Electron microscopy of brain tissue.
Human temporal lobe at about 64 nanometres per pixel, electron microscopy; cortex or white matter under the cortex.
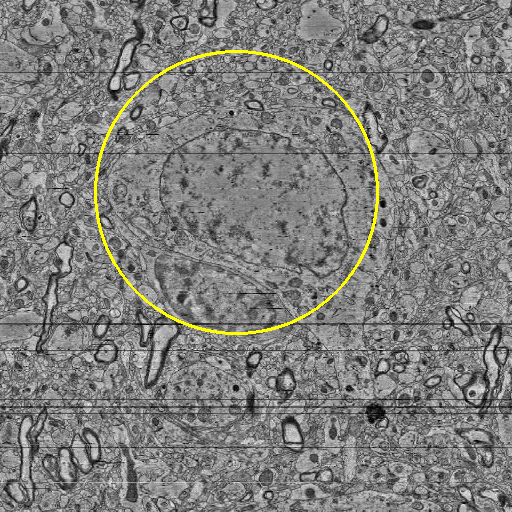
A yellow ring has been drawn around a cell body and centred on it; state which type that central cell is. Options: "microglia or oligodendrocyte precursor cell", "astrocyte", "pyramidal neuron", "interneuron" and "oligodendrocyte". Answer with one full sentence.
The cell at the middle of the yellow ring is a pyramidal neuron in this picture.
